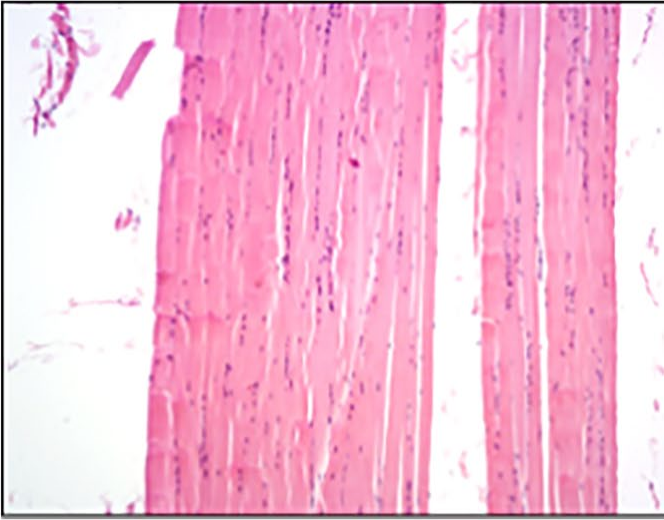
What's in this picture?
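This is skeletal muscle cut lengthwise, made of long, parallel, pink fibres running top to bottom. Small, elongated, dark purple nuclei line the fibres and follow their long axis. On the left, the edge of the tissue borders an empty white area containing a few loose fragments. A wide white gap splits the fibre bundles on the right, most likely a split made during processing.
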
